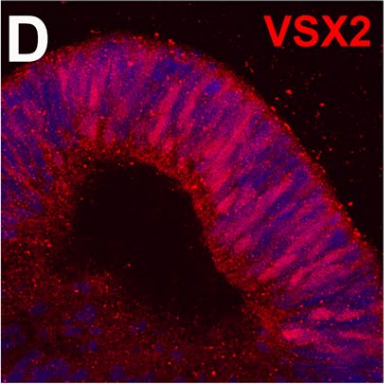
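Curved neuroepithelial band of retinal progenitor cells arching over a dark, empty space. The epithelium is pseudostratified: elongated, spindle-shaped nuclei stand radially across its whole thickness, stacked at different depths. Red label fills many of these elongated nuclei and gives a finer granular red haze along the outer surface and in the tissue beneath the band. Blue nuclei without red label lie among them. Cells are densely packed, with no distinct layered separation within the band.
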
